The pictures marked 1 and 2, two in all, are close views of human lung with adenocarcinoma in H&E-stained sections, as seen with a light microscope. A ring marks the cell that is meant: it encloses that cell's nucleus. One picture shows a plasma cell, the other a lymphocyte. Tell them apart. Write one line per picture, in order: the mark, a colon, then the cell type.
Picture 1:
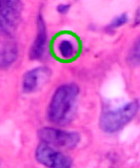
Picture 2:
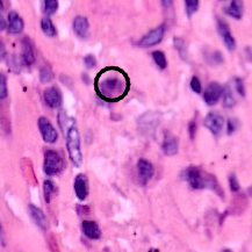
1: lymphocyte
2: plasma cell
